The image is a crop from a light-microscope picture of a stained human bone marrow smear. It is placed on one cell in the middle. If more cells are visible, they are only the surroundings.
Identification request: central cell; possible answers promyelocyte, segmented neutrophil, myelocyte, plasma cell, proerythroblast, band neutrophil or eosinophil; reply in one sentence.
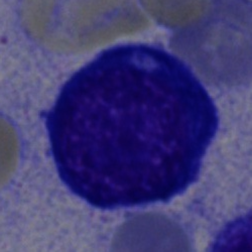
Occupying the centre of the crop is a proerythroblast.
